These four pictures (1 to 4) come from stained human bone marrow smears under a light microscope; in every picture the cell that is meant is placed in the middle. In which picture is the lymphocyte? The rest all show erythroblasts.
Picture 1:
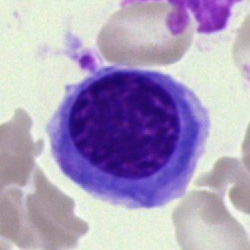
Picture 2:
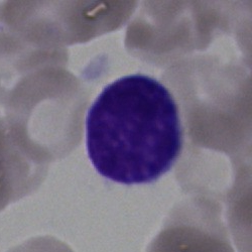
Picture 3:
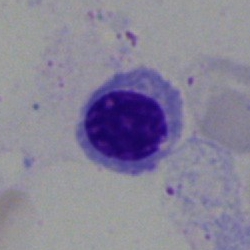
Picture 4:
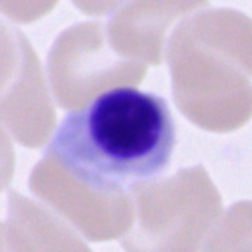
2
